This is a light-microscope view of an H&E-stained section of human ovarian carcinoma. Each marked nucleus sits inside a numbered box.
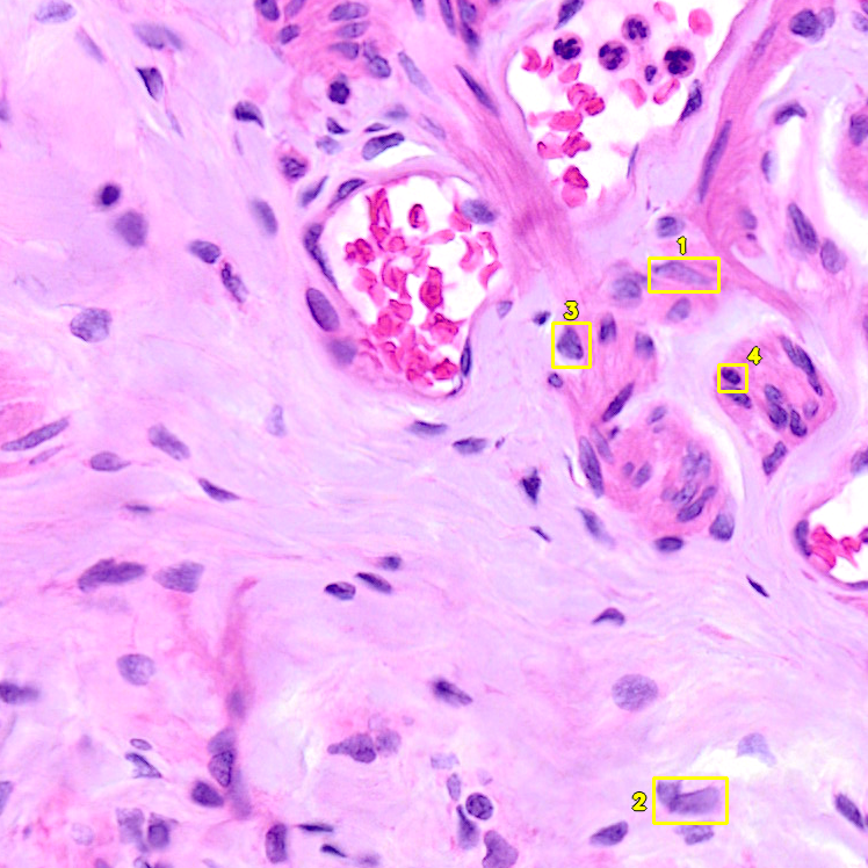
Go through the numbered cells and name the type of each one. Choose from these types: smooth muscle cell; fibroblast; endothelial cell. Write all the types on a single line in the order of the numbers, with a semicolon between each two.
smooth muscle cell; fibroblast; smooth muscle cell; smooth muscle cell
